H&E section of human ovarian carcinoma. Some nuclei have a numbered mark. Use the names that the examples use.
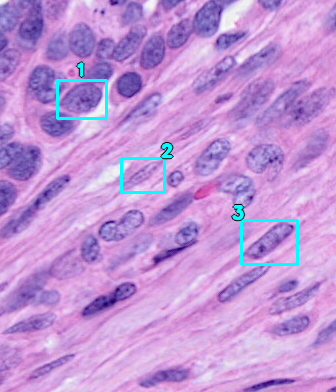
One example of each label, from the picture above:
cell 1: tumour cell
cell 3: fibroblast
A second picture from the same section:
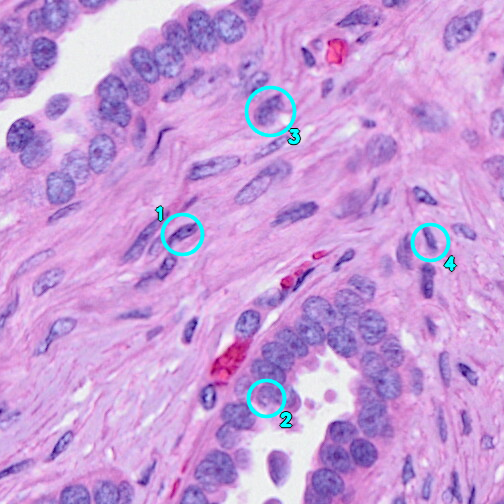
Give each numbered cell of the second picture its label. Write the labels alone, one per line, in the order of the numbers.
fibroblast
tumour cell
fibroblast
fibroblast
